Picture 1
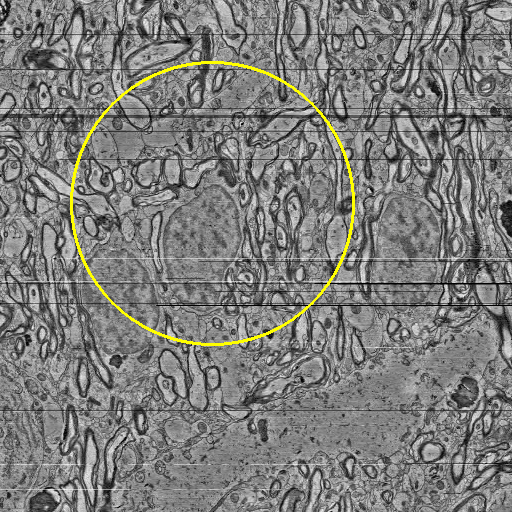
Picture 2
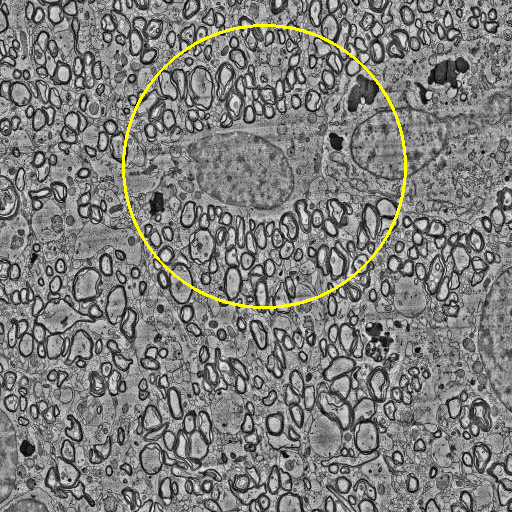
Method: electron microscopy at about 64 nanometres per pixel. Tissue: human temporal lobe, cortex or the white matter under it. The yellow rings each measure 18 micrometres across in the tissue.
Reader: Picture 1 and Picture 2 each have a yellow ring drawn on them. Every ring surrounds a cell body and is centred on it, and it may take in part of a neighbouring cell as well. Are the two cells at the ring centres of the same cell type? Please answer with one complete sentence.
Yes, both cells are of the same cell type.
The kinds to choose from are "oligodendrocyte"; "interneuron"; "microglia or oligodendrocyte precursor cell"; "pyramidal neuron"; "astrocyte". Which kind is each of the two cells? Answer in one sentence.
The first and the second cell are each an oligodendrocyte.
